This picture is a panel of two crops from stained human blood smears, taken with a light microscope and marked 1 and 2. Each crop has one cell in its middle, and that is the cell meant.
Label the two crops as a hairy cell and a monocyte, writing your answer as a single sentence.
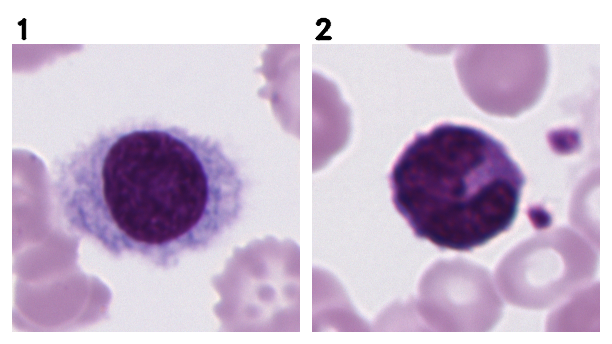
The cell that crop 1 centres on is a hairy cell, and the cell that crop 2 centres on is a monocyte.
